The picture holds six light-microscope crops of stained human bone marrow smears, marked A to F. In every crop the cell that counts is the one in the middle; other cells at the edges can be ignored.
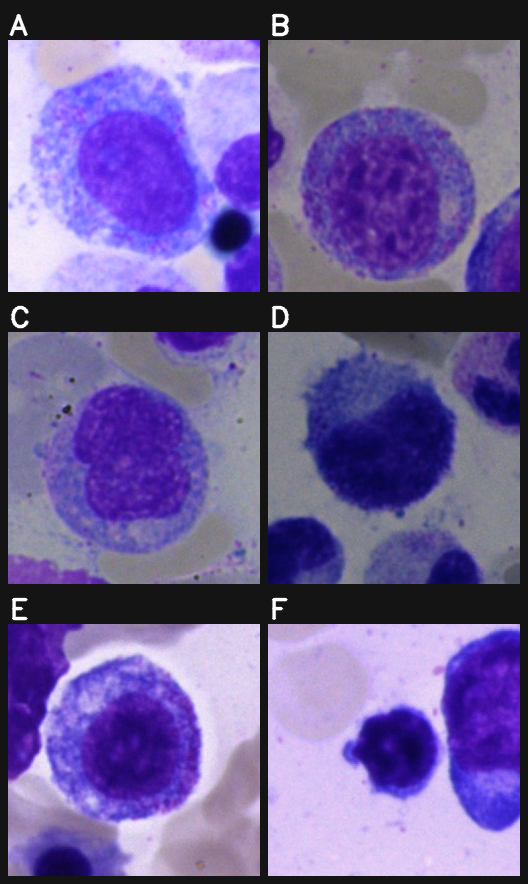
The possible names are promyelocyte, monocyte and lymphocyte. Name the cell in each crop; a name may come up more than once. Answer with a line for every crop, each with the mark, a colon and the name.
A: promyelocyte
B: promyelocyte
C: monocyte
D: promyelocyte
E: promyelocyte
F: lymphocyte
